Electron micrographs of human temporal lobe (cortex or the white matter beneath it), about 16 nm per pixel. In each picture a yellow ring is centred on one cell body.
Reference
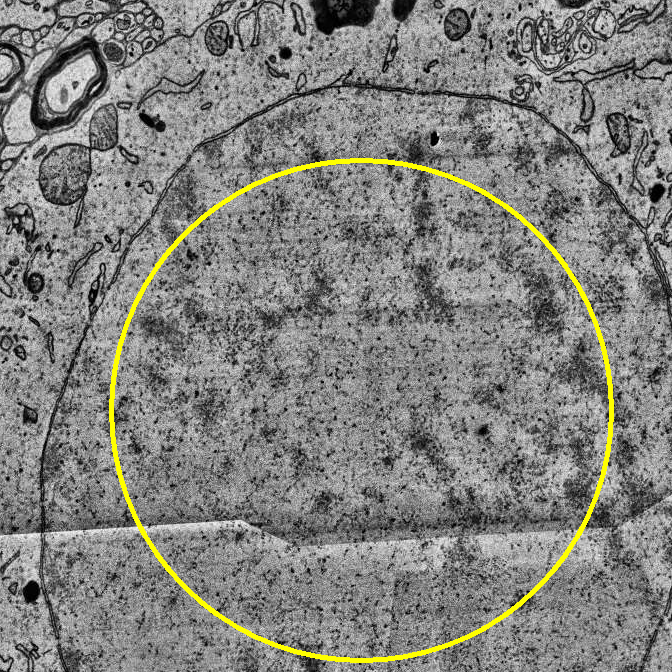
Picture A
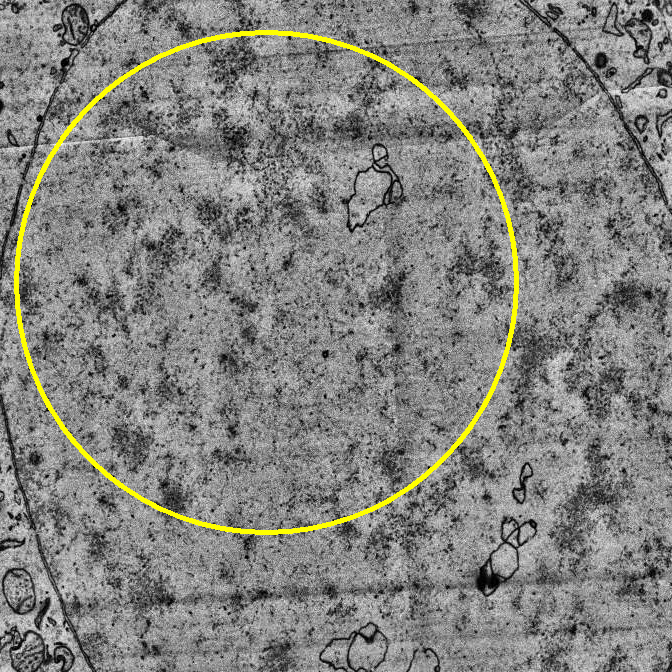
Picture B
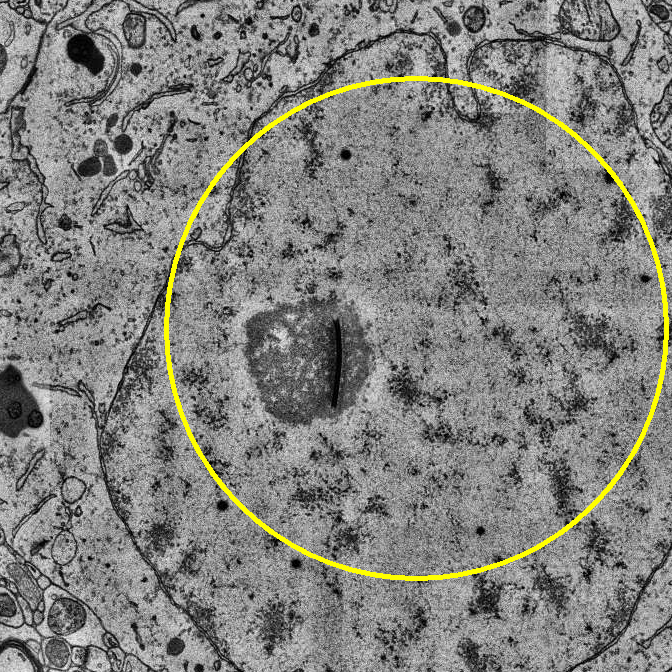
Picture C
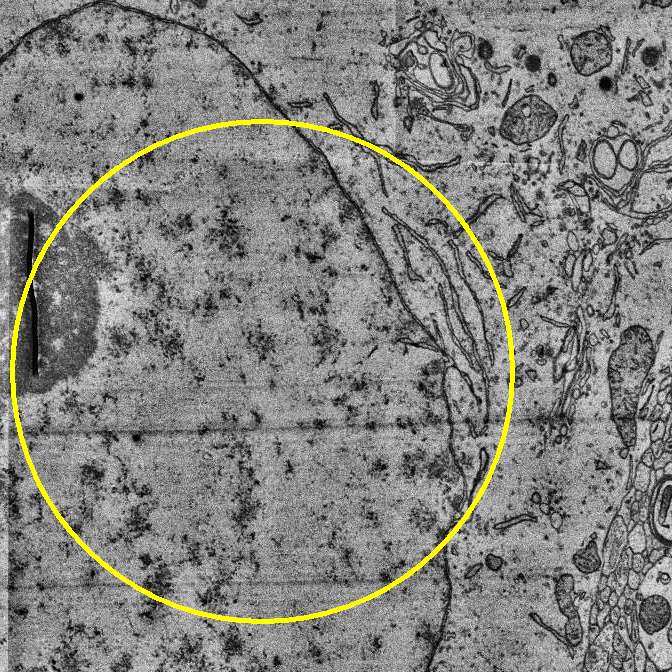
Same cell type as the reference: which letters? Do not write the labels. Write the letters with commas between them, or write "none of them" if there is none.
A, B, C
